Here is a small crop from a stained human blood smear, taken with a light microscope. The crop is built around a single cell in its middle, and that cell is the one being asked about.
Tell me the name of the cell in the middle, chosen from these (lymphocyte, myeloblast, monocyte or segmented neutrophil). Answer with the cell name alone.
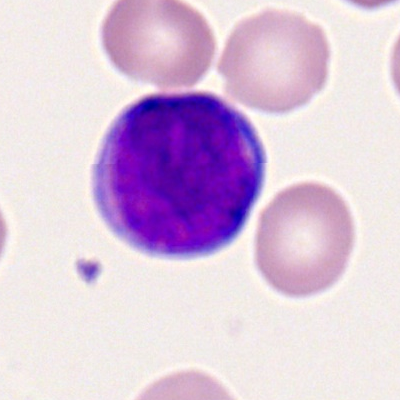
myeloblast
